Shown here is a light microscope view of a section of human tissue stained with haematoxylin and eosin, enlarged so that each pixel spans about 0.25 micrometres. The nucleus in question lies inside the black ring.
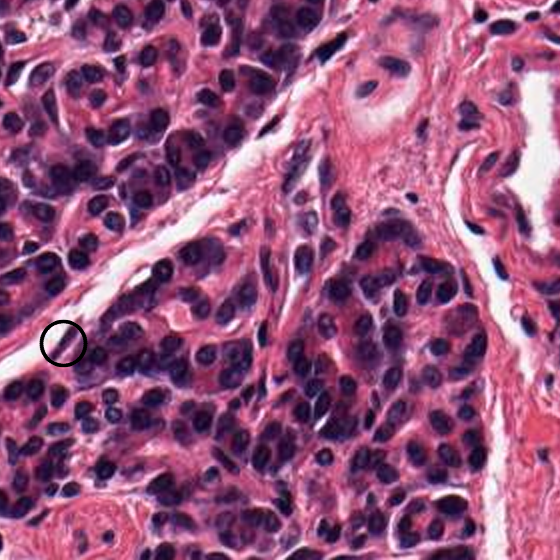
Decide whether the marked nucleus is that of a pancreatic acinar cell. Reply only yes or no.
no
